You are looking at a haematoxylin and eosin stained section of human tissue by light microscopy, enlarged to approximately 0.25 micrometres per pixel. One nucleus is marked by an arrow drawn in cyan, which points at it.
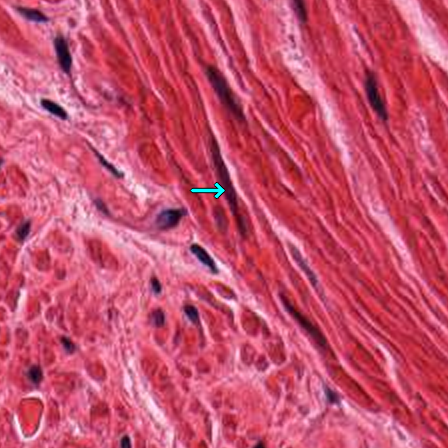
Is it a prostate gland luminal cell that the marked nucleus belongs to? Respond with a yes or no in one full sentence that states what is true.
No, the marked nucleus is not held within a prostate gland luminal cell.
